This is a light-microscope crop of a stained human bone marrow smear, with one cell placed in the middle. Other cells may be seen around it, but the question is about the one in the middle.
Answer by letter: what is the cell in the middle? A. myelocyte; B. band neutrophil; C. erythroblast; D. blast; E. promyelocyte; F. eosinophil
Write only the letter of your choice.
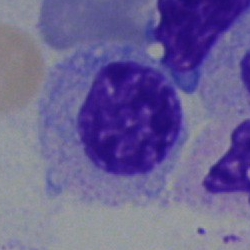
A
